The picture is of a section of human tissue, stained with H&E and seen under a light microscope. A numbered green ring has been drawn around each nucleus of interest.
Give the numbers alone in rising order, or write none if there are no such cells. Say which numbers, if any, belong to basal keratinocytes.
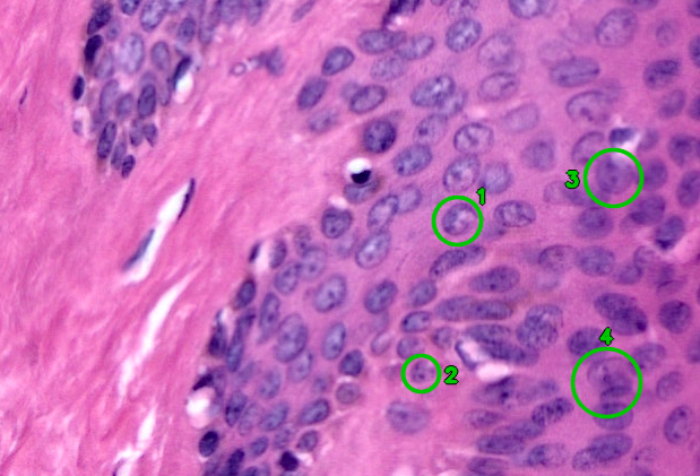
2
